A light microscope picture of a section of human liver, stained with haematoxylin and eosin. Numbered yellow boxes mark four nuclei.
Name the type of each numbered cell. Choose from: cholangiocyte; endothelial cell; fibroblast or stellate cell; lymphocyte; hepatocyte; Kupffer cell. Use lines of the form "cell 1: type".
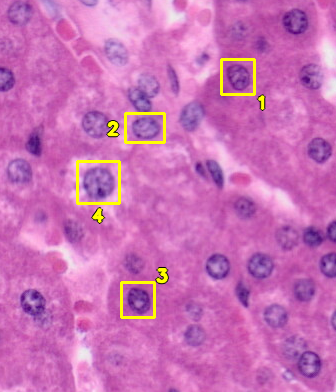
cell 1: hepatocyte
cell 2: cholangiocyte
cell 3: hepatocyte
cell 4: hepatocyte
